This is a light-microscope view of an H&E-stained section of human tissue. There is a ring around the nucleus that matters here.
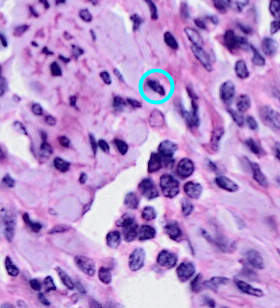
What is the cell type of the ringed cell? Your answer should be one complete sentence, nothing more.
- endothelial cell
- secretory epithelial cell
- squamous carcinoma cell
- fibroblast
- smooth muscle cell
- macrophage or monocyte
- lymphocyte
In this section of tissue, the ringed cell is a lymphocyte.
